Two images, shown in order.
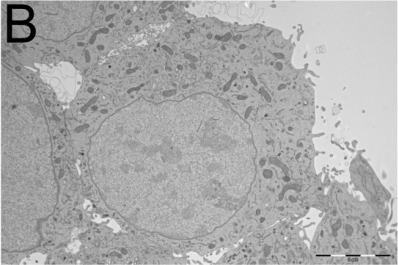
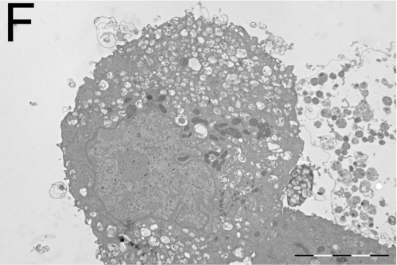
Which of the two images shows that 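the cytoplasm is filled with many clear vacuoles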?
The second image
